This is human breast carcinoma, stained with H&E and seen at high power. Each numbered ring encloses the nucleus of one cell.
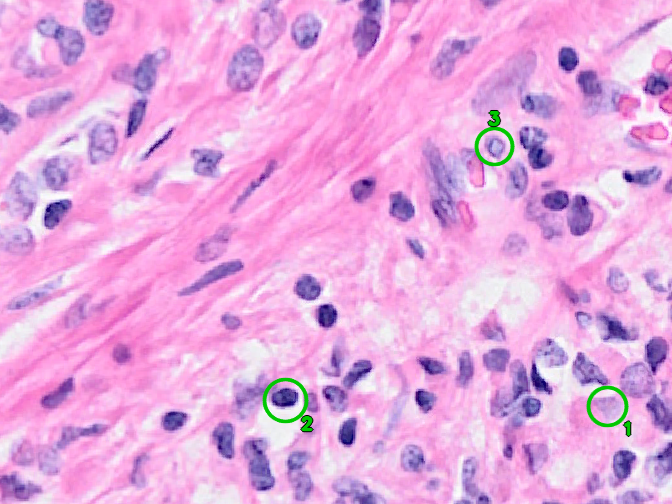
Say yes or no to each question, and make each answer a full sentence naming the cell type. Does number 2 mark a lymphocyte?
Yes, the nucleus numbered 2 belongs to a lymphocyte.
